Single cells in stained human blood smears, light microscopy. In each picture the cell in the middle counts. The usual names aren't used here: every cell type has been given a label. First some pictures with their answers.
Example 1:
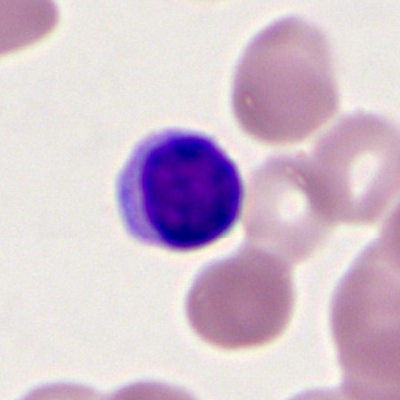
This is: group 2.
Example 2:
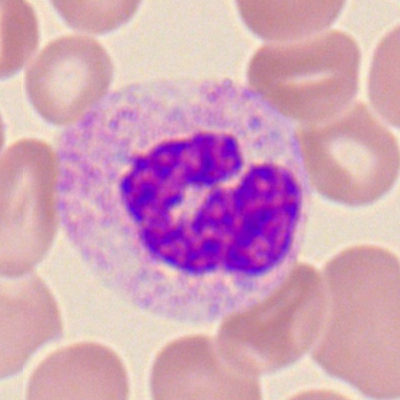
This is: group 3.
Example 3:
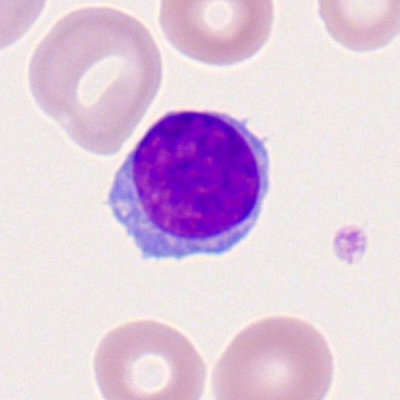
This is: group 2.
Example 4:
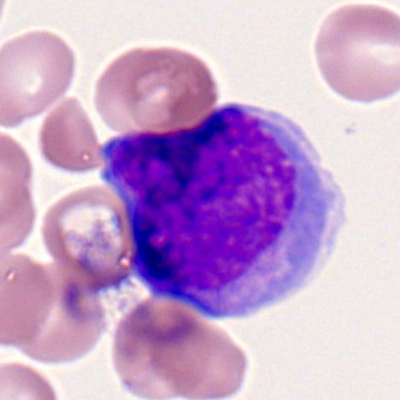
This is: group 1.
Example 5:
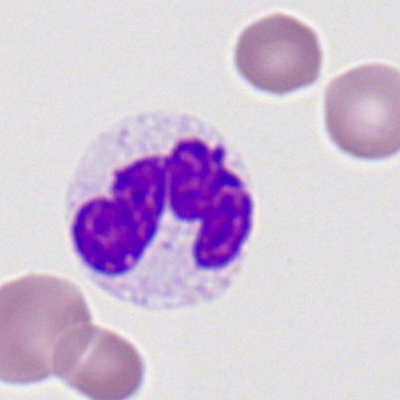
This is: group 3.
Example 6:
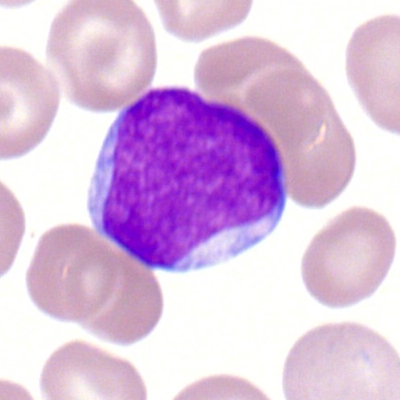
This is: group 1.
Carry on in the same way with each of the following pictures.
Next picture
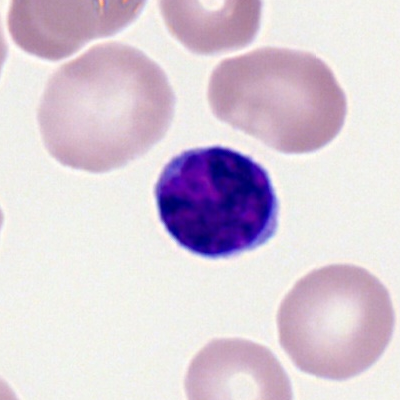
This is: group 2.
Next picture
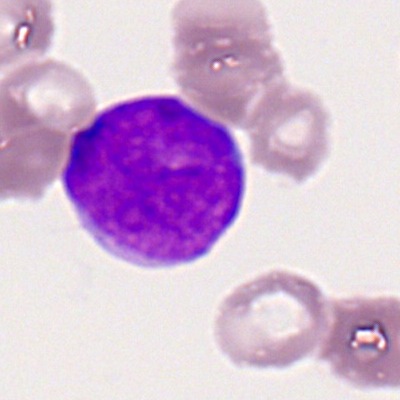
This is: group 1.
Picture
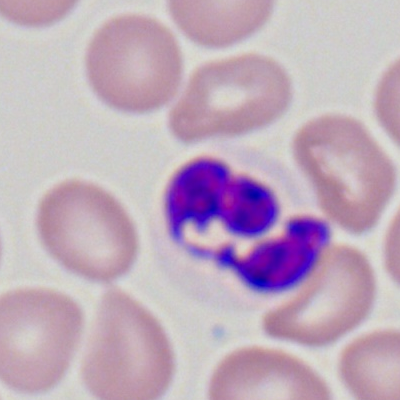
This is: group 3.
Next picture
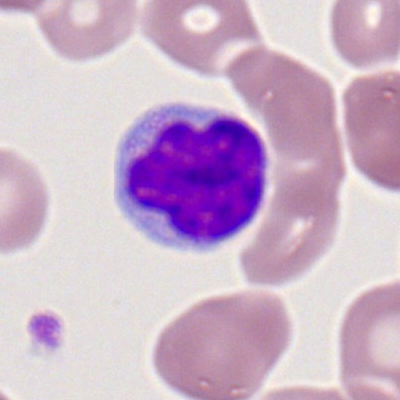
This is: group 2.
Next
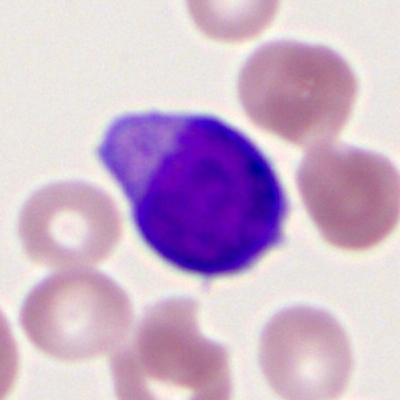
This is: group 1.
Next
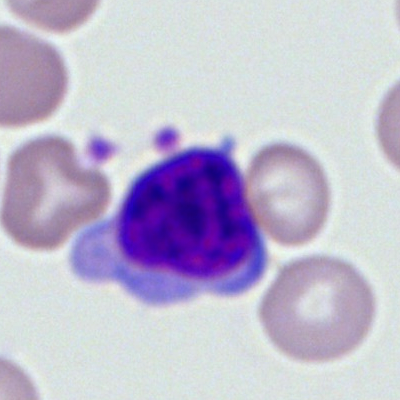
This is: group 2.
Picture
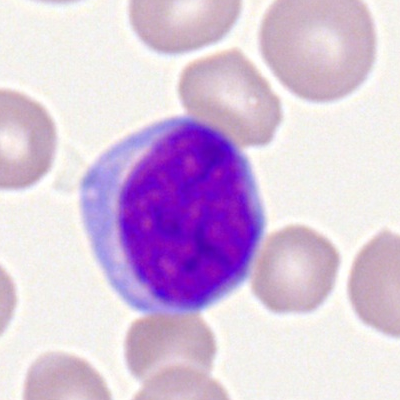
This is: group 2.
